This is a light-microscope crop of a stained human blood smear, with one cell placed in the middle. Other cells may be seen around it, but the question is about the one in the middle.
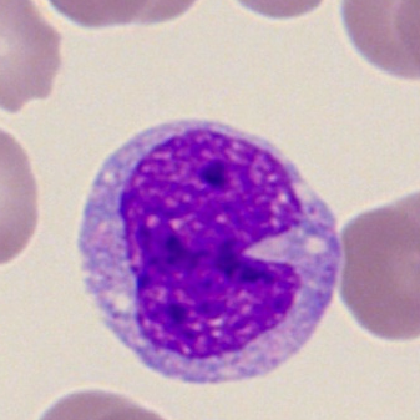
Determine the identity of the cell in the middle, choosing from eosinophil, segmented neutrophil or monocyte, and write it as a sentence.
As for the central cell, it is a monocyte.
